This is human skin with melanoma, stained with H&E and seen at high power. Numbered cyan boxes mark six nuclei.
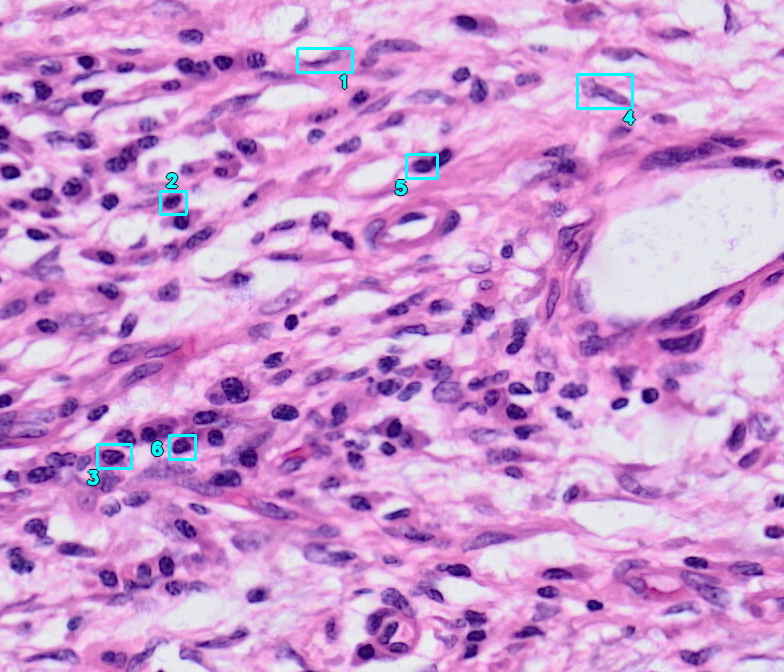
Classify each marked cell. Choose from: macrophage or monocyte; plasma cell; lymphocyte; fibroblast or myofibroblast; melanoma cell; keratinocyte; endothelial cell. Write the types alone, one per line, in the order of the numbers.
fibroblast or myofibroblast
plasma cell
plasma cell
fibroblast or myofibroblast
plasma cell
plasma cell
